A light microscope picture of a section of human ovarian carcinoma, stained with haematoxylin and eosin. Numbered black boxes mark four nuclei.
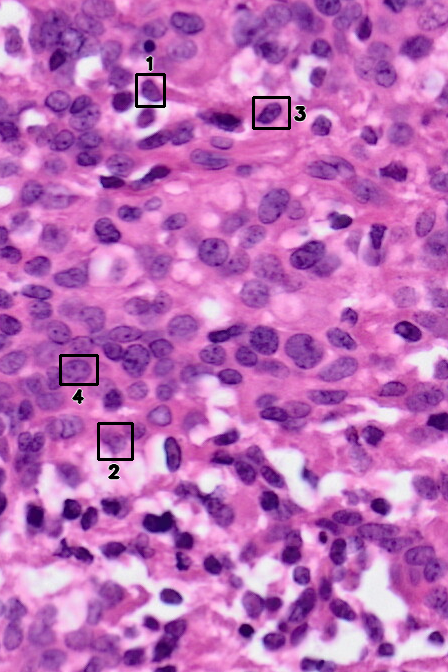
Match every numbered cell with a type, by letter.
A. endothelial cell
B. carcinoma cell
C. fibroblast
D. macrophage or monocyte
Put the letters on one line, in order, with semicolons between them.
B; B; D; B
